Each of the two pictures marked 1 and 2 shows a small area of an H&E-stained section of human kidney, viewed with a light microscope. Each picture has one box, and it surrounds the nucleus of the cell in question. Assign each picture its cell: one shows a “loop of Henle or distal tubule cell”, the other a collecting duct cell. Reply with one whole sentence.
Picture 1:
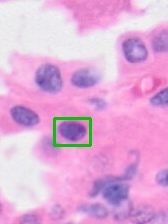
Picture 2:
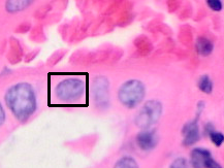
Picture 2 shows a collecting duct cell, while picture 1 shows a “loop of Henle or distal tubule cell”.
